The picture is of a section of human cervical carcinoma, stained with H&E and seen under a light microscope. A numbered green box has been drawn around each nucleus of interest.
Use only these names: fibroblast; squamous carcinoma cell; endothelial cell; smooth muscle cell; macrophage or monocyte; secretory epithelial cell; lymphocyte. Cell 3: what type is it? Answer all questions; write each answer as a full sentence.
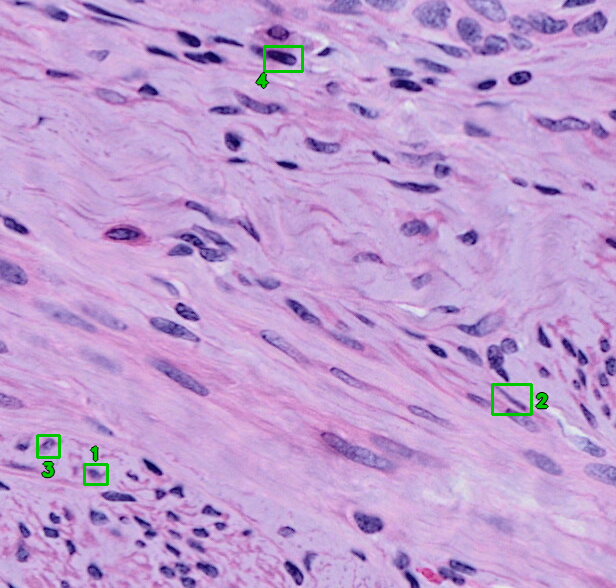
Nucleus 3 in this section belongs to a smooth muscle cell.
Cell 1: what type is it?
Here the cell numbered 1 is a smooth muscle cell.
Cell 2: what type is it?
The cell carrying label 2 is identified as a smooth muscle cell.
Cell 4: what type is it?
The numbered cell 4 in this field is a lymphocyte.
